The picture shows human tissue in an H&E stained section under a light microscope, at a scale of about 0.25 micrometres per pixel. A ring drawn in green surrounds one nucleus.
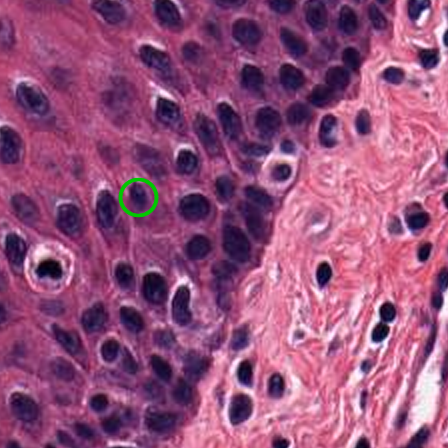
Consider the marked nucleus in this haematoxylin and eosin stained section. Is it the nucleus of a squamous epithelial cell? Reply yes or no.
yes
